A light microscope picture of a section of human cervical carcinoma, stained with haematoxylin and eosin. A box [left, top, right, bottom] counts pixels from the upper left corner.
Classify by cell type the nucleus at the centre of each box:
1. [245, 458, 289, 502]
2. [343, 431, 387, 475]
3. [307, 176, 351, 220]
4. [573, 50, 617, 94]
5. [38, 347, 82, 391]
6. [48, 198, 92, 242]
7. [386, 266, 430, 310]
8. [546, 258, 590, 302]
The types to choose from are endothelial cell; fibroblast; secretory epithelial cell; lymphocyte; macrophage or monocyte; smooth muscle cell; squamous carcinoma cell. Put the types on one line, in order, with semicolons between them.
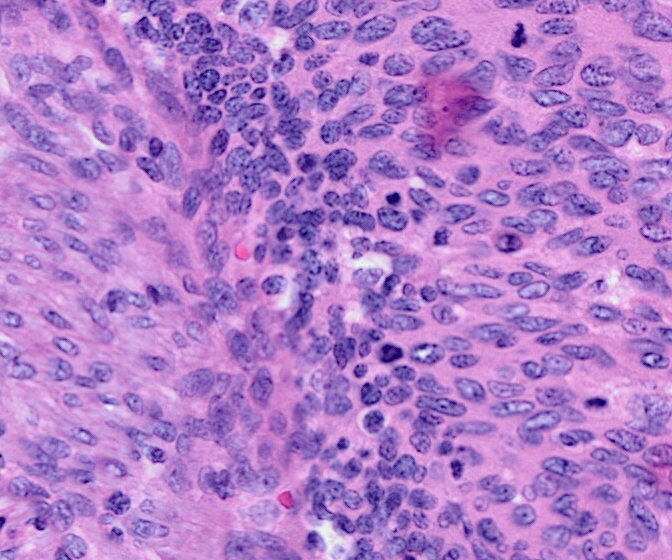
endothelial cell; squamous carcinoma cell; squamous carcinoma cell; squamous carcinoma cell; smooth muscle cell; smooth muscle cell; squamous carcinoma cell; squamous carcinoma cell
